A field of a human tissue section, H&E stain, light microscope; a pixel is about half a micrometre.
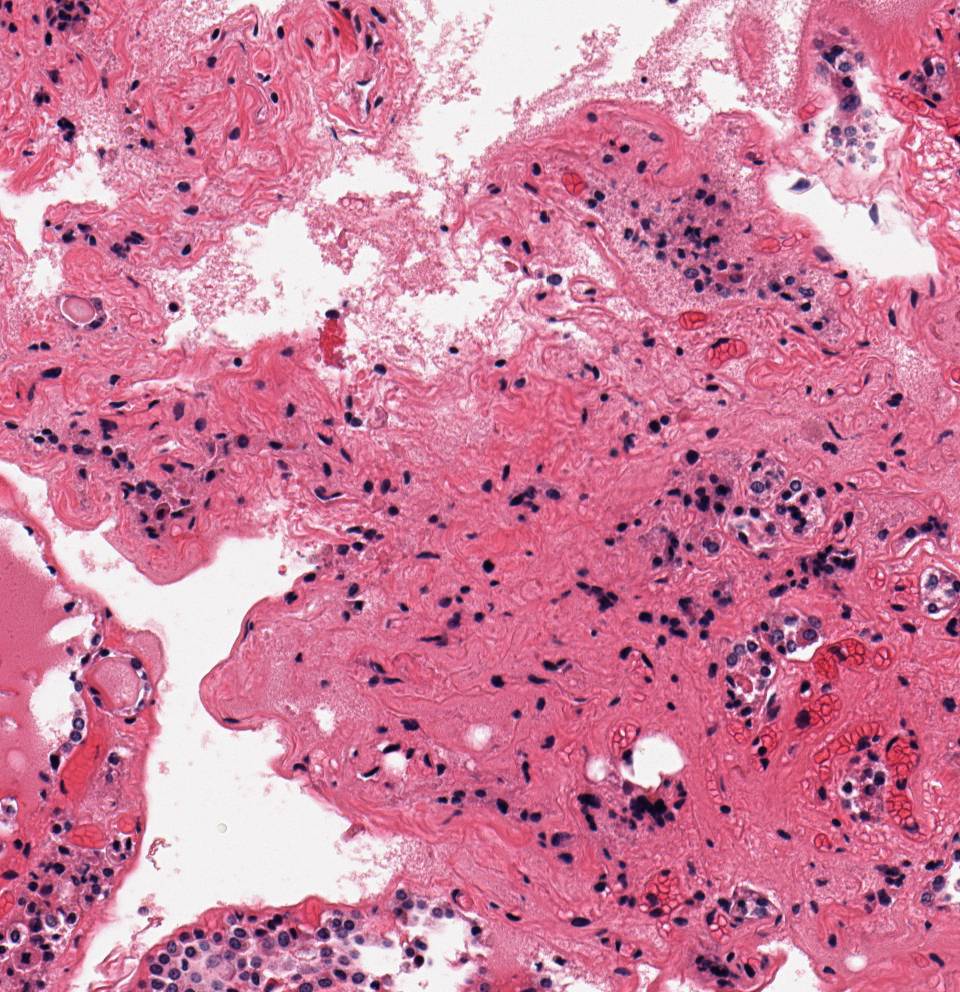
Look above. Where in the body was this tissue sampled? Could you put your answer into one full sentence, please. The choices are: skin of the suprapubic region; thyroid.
This slide holds tissue sampled from the thyroid.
